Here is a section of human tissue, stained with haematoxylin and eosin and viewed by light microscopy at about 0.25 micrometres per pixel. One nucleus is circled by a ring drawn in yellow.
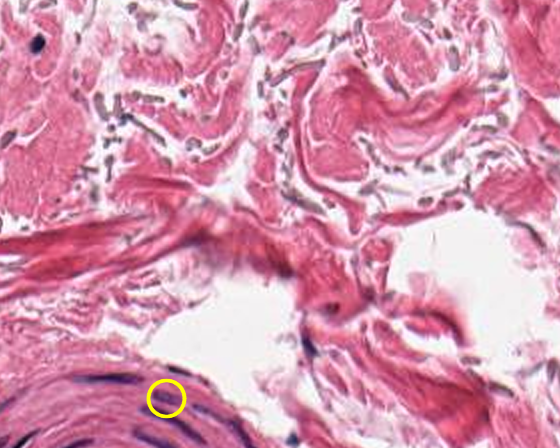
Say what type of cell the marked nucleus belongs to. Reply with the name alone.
smooth muscle cell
